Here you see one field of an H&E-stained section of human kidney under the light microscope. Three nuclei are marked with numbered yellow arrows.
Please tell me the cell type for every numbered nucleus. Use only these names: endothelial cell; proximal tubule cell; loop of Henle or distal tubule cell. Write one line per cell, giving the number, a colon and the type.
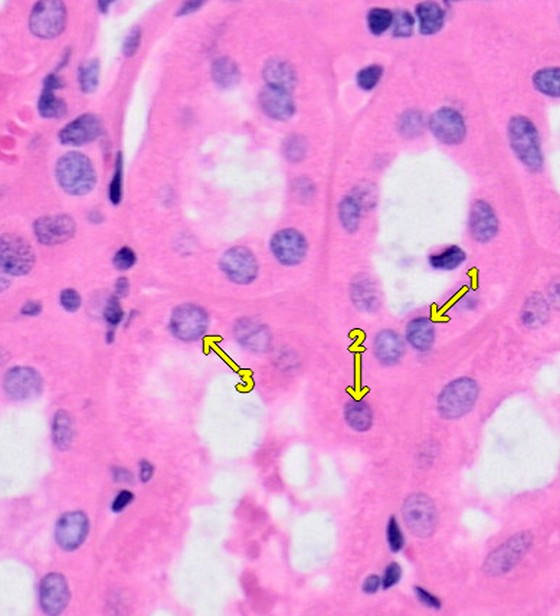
1: loop of Henle or distal tubule cell
2: proximal tubule cell
3: proximal tubule cell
